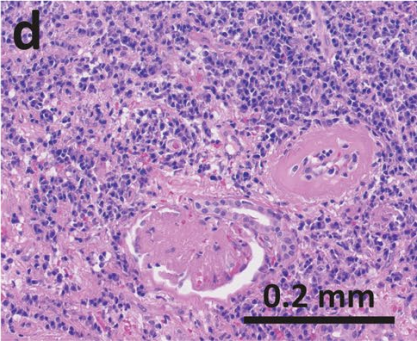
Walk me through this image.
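This is kidney cortex crowded by a dense interstitial inflammatory infiltrate. Sheets of small round cells with dark purple nuclei and scant cytoplasm fill nearly the whole field. Little normal tubular or glomerular structure remains visible between the packed cells.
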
